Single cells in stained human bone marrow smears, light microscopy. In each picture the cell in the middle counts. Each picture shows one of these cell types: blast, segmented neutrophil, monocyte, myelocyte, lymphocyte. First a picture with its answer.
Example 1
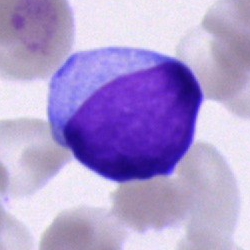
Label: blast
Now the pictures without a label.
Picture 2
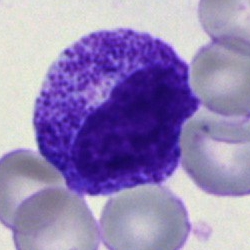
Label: myelocyte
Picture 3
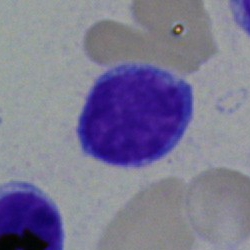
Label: lymphocyte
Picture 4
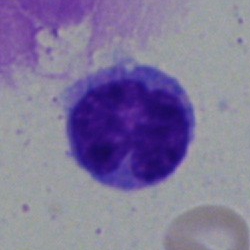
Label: monocyte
